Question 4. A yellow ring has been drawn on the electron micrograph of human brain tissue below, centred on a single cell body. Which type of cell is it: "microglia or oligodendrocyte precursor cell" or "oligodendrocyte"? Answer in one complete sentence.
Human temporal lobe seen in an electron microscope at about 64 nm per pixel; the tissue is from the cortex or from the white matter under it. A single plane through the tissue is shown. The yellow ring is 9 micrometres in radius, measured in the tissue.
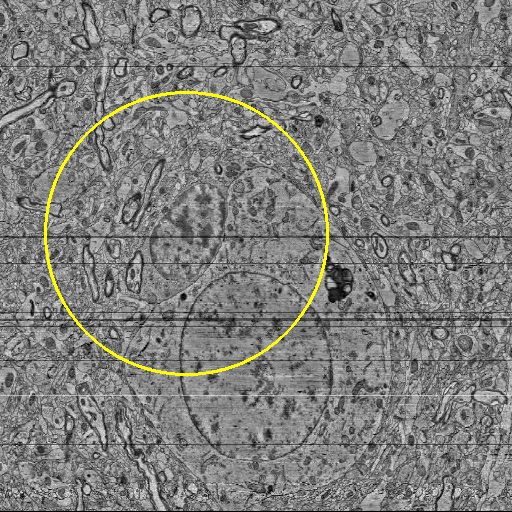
This cell body belongs to an oligodendrocyte.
